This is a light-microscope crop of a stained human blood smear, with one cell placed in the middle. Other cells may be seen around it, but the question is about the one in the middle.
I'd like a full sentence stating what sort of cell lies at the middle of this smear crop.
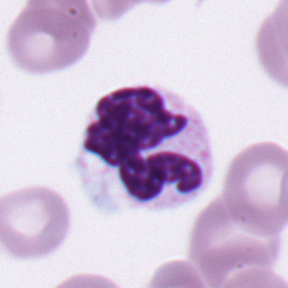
The central cell in this smear crop is a segmented neutrophil.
